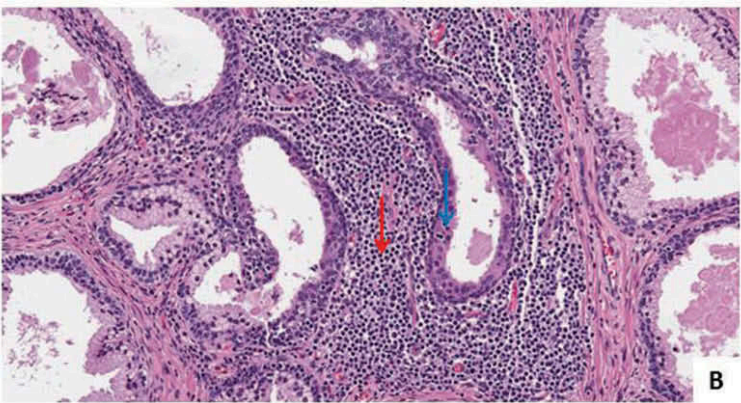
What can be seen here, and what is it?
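Prostatic glands with chronic inflammation: several glands with wide, irregular lumens lined by cuboidal to columnar epithelium, some lumens containing pale pink secretion. Between the glands the stroma is densely filled by a sheet of small round cells with dark, round nuclei and scant cytoplasm, typical of lymphocytes. These inflammatory cells crowd right up against the gland linings, and a few appear within the epithelium itself. Toward the edges, the stroma is more fibromuscular, with elongated spindle nuclei and pink fibres running around the glands.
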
